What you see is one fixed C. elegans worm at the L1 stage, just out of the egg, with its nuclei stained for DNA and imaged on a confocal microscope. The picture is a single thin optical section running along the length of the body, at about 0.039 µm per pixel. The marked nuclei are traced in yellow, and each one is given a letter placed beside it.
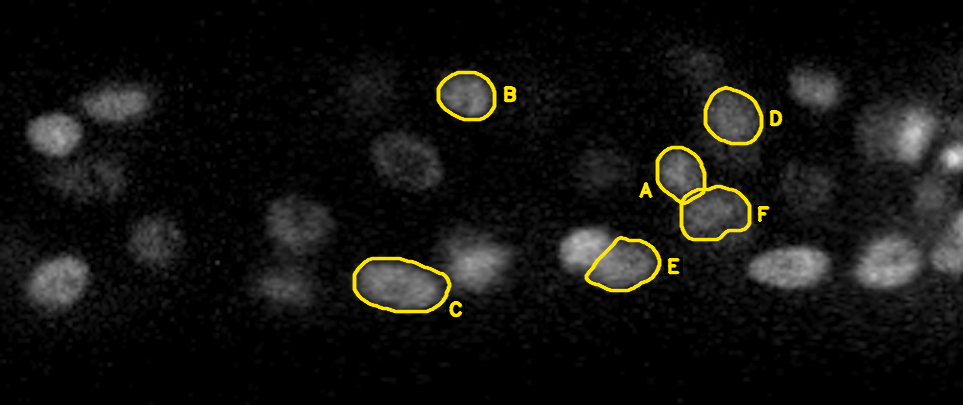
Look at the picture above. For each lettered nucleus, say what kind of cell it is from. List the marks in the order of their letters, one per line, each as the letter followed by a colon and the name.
A: neuron
B: body wall muscle cell
C: body wall muscle cell
D: intestinal cell
E: body wall muscle cell
F: intestinal cell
